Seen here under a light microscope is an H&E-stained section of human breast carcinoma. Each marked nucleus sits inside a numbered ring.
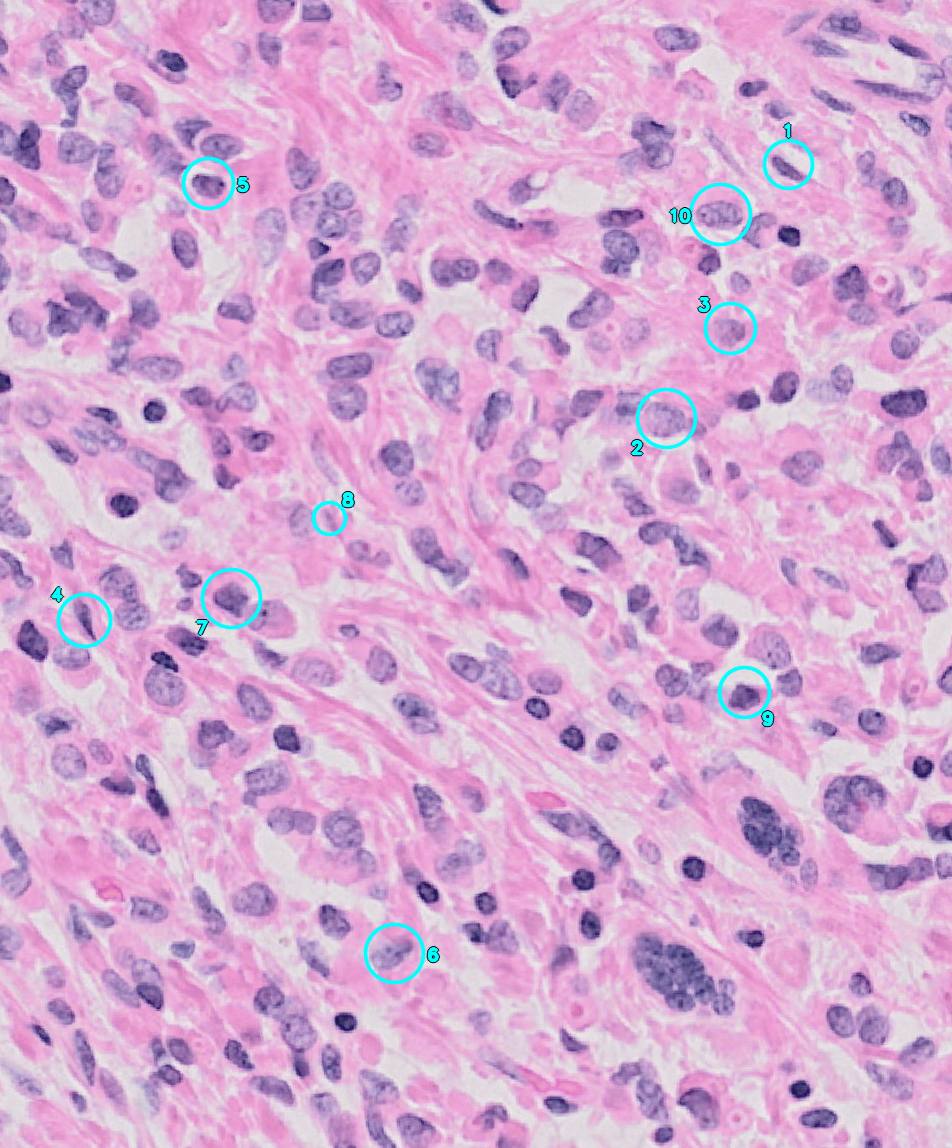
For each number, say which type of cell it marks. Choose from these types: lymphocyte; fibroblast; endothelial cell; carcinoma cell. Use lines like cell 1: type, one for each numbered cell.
cell 1: fibroblast
cell 2: carcinoma cell
cell 3: fibroblast
cell 4: fibroblast
cell 5: carcinoma cell
cell 6: fibroblast
cell 7: carcinoma cell
cell 8: fibroblast
cell 9: carcinoma cell
cell 10: carcinoma cell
